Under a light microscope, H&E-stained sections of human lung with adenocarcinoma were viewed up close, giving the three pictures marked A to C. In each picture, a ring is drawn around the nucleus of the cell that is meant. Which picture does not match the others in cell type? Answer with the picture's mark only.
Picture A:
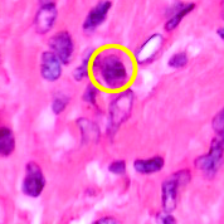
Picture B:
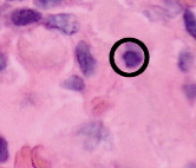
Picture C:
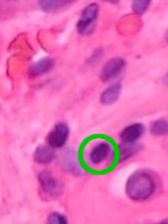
A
